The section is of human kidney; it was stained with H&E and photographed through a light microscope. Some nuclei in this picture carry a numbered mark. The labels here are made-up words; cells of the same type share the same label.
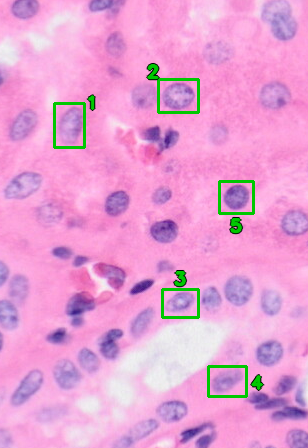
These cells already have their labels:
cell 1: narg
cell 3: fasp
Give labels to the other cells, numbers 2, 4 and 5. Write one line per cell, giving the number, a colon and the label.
2: narg
4: fasp
5: narg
